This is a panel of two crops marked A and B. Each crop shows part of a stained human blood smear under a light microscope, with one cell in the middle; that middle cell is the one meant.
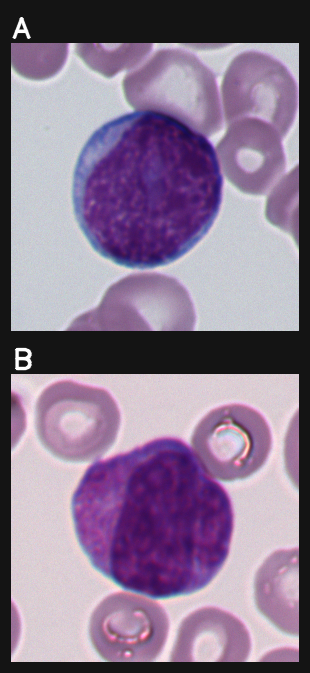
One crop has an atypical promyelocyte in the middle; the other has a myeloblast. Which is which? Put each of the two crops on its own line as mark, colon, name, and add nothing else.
A: myeloblast
B: atypical promyelocyte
